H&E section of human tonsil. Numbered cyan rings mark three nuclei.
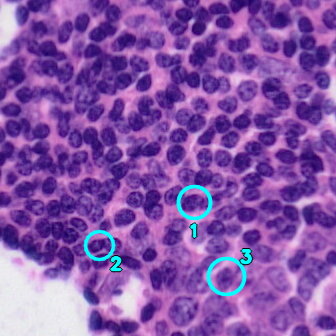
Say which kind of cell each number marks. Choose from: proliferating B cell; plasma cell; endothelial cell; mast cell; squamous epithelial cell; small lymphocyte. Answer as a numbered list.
1. small lymphocyte
2. small lymphocyte
3. proliferating B cell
